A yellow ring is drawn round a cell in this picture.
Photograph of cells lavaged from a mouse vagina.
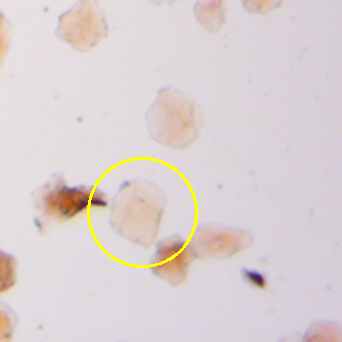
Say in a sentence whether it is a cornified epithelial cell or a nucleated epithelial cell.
The cell in the ring is a cornified epithelial cell.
